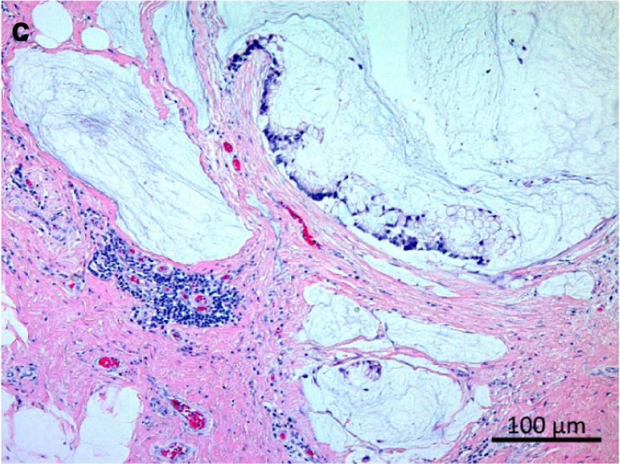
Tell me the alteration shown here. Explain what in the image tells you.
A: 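Large pale bluish-grey pools fill most of the field. Thin strips of epithelium with dark nuclei lie along the edges of the pools. Pink fibrous septa separate the pools. On this evidence: Rich mucinous production.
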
